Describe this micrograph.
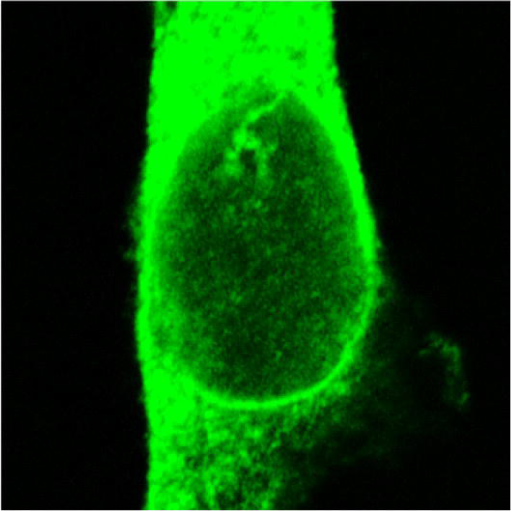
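A single cultured cell with an oval nucleus, imaged in green fluorescence. The green signal fills the cytoplasm around the nucleus, while the nucleus itself is dimmer than the surrounding cytoplasm. A bright thin green line outlines the edge of the nucleus. The cell tapers into a cytoplasmic extension at the top.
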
